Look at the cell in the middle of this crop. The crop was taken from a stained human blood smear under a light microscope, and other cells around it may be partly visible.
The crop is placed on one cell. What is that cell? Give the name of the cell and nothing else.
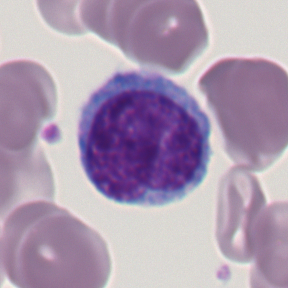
monocyte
